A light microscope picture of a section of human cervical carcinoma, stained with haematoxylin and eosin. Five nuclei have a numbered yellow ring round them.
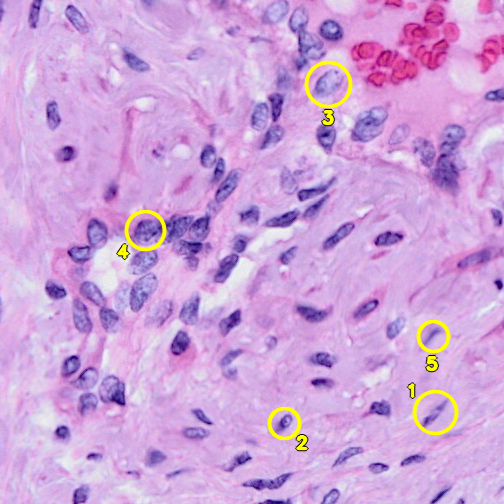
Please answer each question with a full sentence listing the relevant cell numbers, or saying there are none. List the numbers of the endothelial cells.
Here, the cells that carry numbers 3 and 4 are endothelial cells.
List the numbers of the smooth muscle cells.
It is true of every numbered cell that it is not one of the smooth muscle cells.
